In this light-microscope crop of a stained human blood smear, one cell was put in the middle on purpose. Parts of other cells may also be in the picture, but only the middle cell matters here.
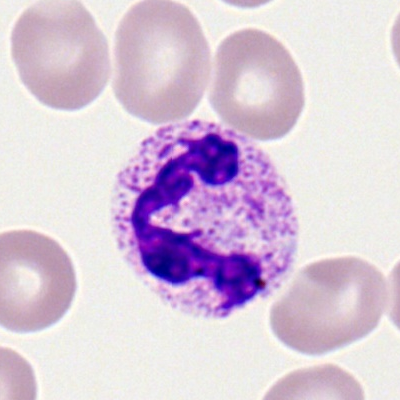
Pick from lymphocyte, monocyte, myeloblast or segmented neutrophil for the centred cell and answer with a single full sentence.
The centrally located cell in the crop is a segmented neutrophil.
